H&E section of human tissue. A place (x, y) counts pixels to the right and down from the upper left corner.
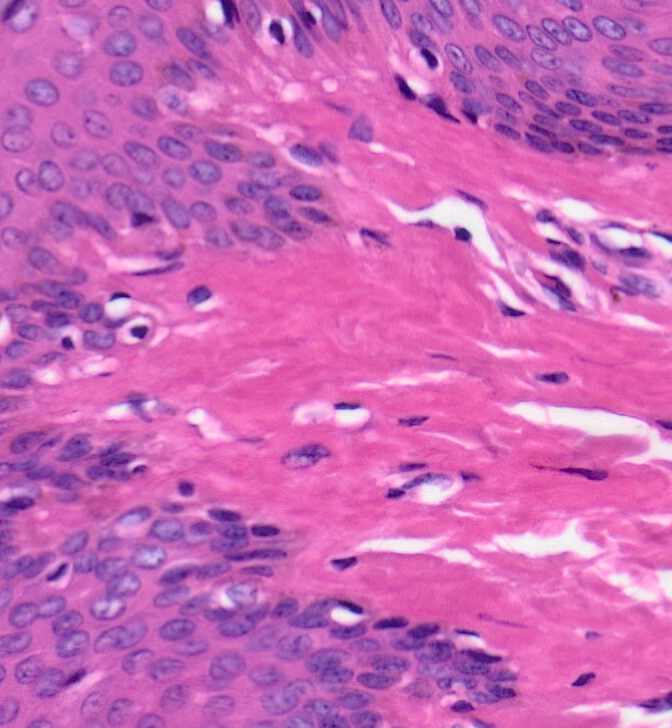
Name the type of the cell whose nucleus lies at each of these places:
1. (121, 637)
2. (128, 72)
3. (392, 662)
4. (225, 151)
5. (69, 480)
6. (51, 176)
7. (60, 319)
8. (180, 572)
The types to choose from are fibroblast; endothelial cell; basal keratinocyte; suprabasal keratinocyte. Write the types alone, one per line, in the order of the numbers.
suprabasal keratinocyte
suprabasal keratinocyte
basal keratinocyte
basal keratinocyte
basal keratinocyte
suprabasal keratinocyte
basal keratinocyte
basal keratinocyte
